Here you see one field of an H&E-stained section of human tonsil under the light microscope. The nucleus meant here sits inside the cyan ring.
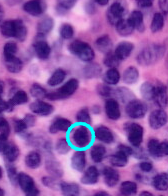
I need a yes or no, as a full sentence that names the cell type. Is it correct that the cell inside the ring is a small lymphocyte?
Yes, to name the cell inside the ring a small lymphocyte is correct.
